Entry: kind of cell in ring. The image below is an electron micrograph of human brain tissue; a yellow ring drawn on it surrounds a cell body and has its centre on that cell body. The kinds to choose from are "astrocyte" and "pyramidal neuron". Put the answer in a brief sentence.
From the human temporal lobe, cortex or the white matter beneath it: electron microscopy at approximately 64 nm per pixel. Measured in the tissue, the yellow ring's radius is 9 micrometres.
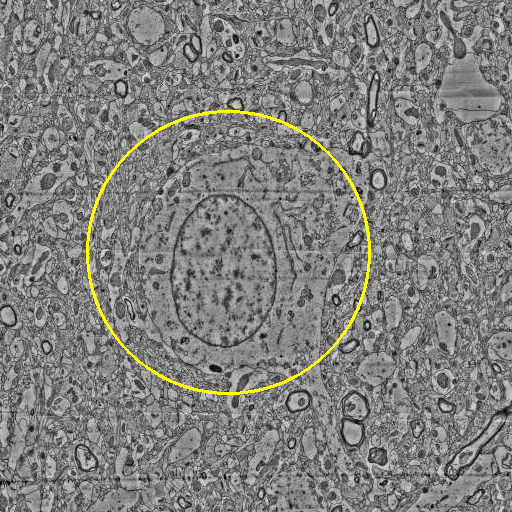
The ring has been drawn around a pyramidal neuron.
